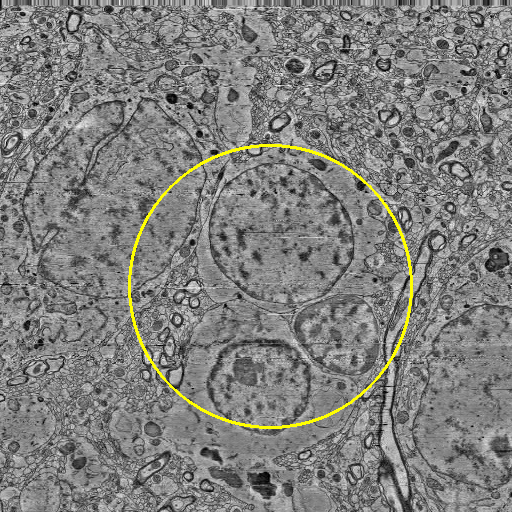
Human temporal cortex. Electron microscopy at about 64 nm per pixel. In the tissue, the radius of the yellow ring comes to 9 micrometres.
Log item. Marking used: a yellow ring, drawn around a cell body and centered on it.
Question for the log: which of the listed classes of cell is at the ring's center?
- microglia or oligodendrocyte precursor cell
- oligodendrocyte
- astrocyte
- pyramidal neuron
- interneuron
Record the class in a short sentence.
At the center of the ring lies an astrocyte.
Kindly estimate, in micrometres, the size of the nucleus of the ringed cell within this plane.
In this plane, the nucleus of the cell at the centre of the ring is about 9 micrometres across.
